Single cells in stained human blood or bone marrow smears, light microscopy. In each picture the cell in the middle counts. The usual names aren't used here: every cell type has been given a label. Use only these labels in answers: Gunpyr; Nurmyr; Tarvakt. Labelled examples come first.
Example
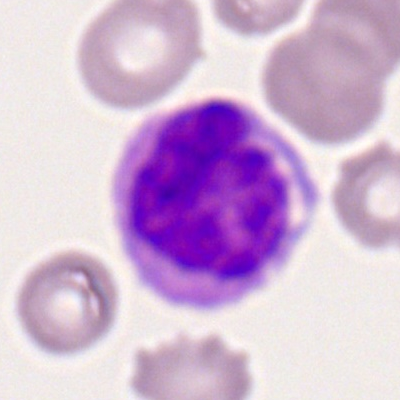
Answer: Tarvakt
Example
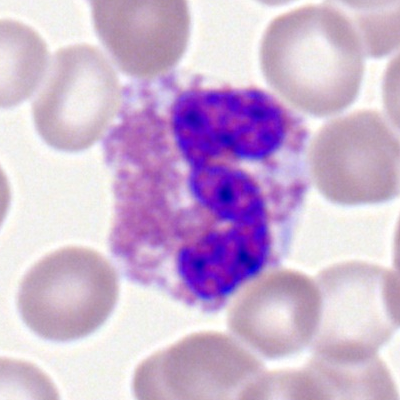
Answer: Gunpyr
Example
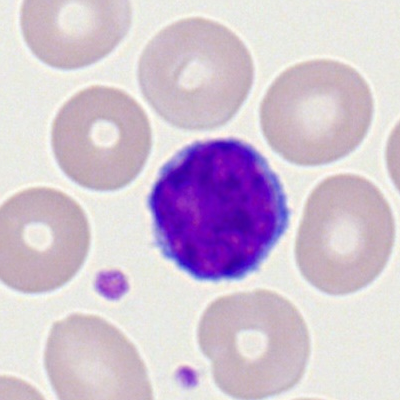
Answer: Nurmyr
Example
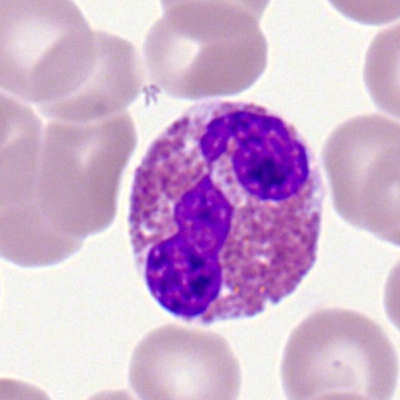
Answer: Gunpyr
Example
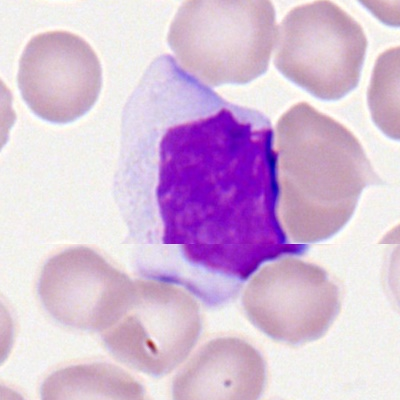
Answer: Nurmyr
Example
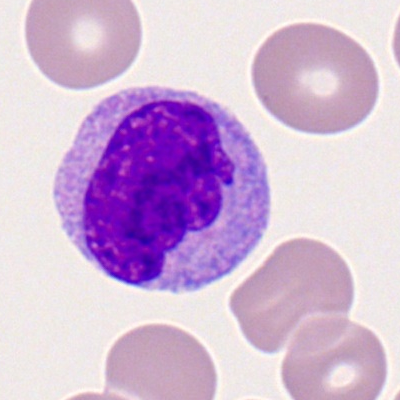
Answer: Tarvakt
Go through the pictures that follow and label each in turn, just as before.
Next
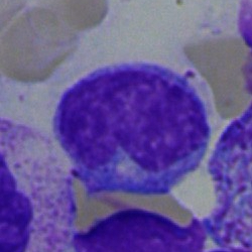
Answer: Tarvakt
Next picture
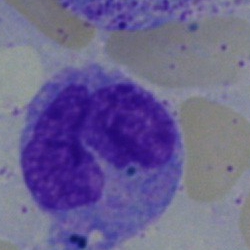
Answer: Tarvakt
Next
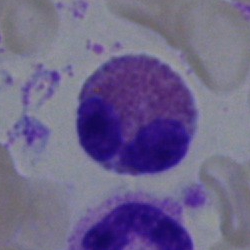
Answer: Gunpyr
